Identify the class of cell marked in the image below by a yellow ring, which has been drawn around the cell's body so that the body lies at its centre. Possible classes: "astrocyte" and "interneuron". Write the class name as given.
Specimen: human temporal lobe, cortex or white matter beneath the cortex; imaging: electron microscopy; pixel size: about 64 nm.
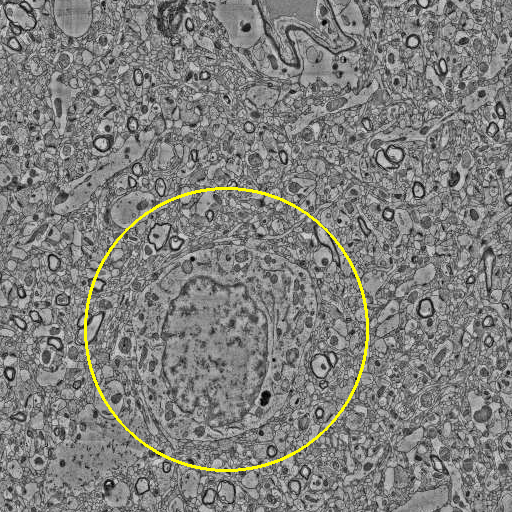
interneuron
